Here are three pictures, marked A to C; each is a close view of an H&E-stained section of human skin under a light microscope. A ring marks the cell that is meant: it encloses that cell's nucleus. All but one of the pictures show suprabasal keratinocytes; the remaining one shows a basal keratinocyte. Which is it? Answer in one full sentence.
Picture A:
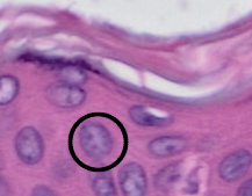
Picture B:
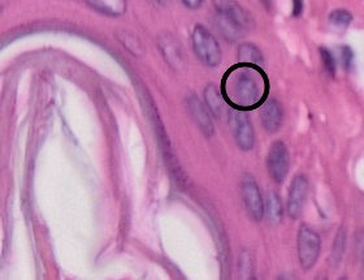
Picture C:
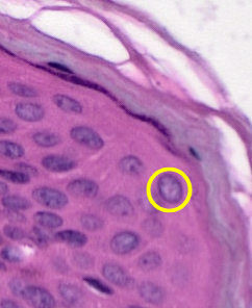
Picture B is the one that shows the basal keratinocyte.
